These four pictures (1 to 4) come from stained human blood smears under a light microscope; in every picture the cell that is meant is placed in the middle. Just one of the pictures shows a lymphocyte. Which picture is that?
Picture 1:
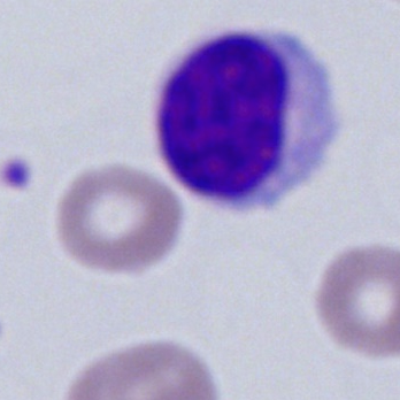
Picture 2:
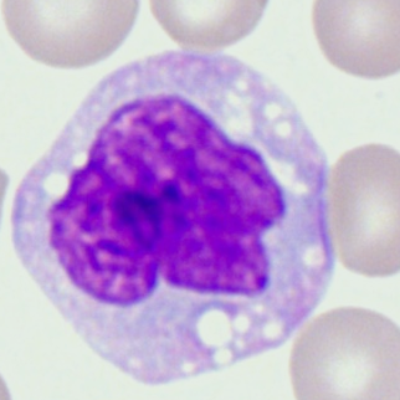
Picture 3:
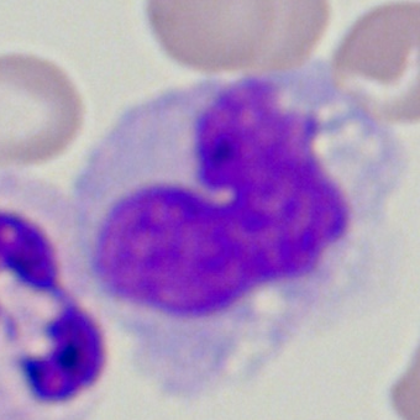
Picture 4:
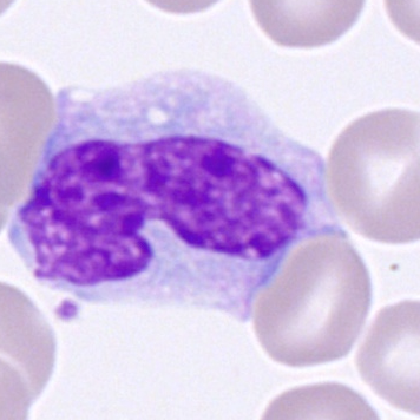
1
